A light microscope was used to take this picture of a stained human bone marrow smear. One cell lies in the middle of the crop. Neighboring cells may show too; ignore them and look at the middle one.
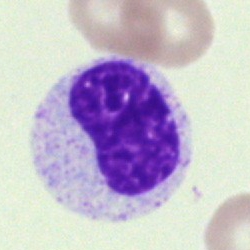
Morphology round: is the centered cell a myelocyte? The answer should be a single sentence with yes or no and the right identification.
No, the cell at the centre is a metamyelocyte, which rules out a myelocyte.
